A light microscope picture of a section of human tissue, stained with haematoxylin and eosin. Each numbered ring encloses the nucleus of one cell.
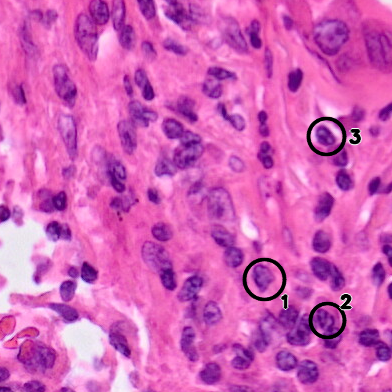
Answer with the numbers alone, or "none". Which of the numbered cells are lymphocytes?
1, 3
